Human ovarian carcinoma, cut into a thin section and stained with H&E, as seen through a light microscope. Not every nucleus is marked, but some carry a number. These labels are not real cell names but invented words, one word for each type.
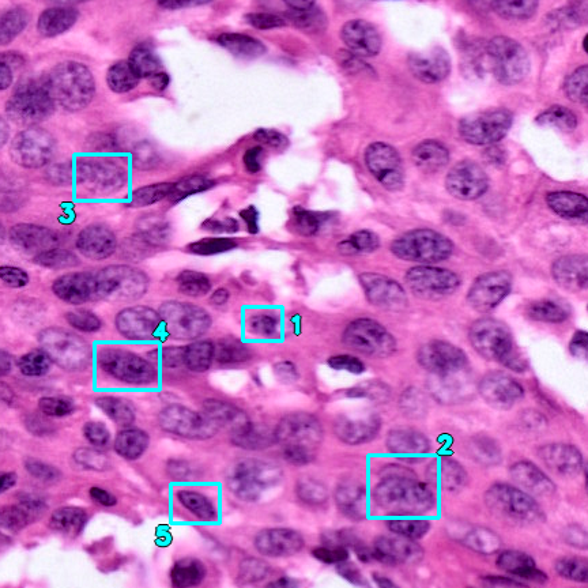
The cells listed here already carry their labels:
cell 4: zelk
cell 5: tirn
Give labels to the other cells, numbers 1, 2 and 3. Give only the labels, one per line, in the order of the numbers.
tirn
zelk
zelk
